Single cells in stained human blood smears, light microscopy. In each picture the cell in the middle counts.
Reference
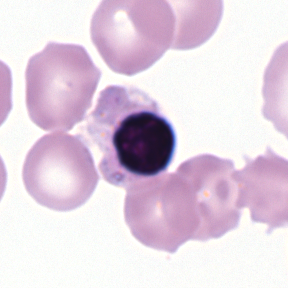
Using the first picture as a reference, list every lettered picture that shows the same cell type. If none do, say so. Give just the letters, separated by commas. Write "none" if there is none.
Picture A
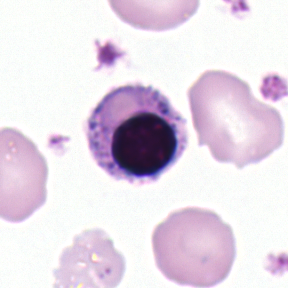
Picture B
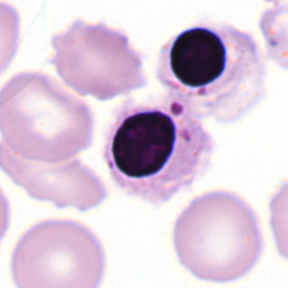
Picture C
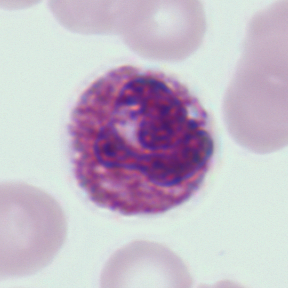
A, B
